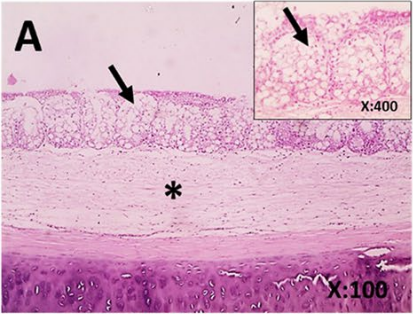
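This section of trachea shows a mucosal surface lined by numerous pale, vacuolated goblet cells, crowded together in the epithelium. Beneath the epithelium the lamina propria is markedly widened into a pale, loose band with scattered nuclei and few fibres, typical of edema. Deeper still lies purple-staining hyaline cartilage with chondrocytes in lacunae. The enlarged view shows the goblet cells as rounded cells with clear, foamy cytoplasm.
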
